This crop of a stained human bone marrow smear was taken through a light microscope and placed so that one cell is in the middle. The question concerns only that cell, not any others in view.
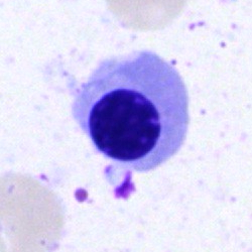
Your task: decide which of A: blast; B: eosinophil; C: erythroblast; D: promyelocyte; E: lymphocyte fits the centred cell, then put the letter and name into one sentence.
Option C is the correct one; it names the central cell as an erythroblast.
